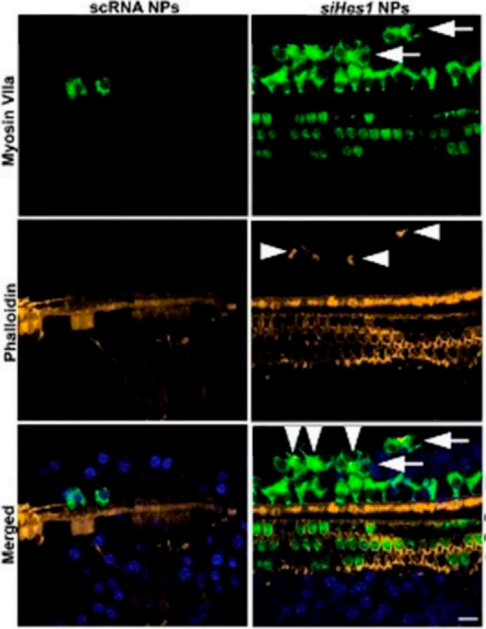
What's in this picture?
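Surface views of cochlear sensory epithelium in fluorescence, with green hair cells, orange-yellow surface and border labelling, and blue nuclei. In one column only a couple of green cells are seen, while in the other a dense row of green flask-shaped cells lies above orderly rows of smaller green cells, with a few extra green cells sitting apart from the main rows. The orange-yellow label traces bright bands at the cell apices and a mosaic of cell borders.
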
